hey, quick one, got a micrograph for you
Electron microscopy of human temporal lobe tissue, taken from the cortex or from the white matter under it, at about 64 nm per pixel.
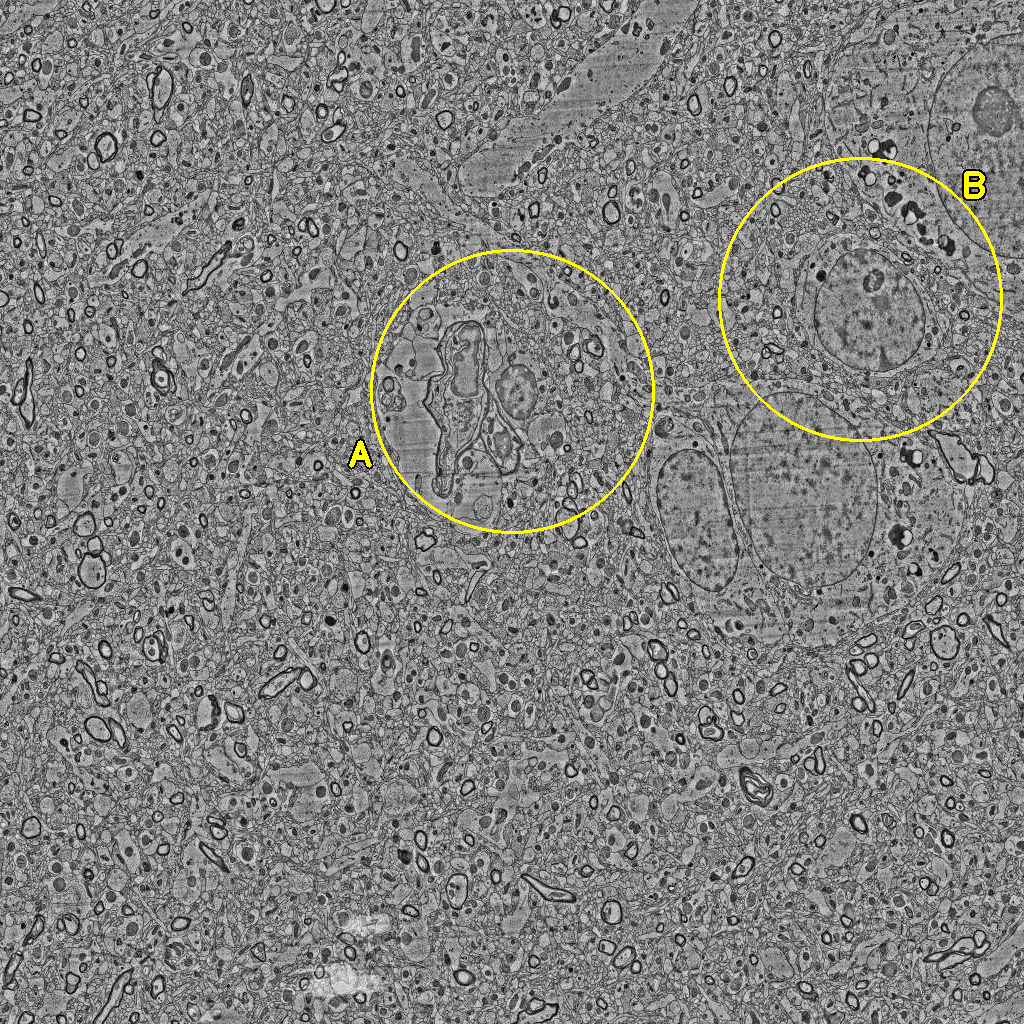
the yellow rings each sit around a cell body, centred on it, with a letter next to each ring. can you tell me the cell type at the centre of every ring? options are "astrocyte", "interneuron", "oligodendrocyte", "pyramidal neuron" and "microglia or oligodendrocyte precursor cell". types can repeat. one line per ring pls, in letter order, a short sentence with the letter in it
Ring A goes around an oligodendrocyte.
Ring B goes around an interneuron.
